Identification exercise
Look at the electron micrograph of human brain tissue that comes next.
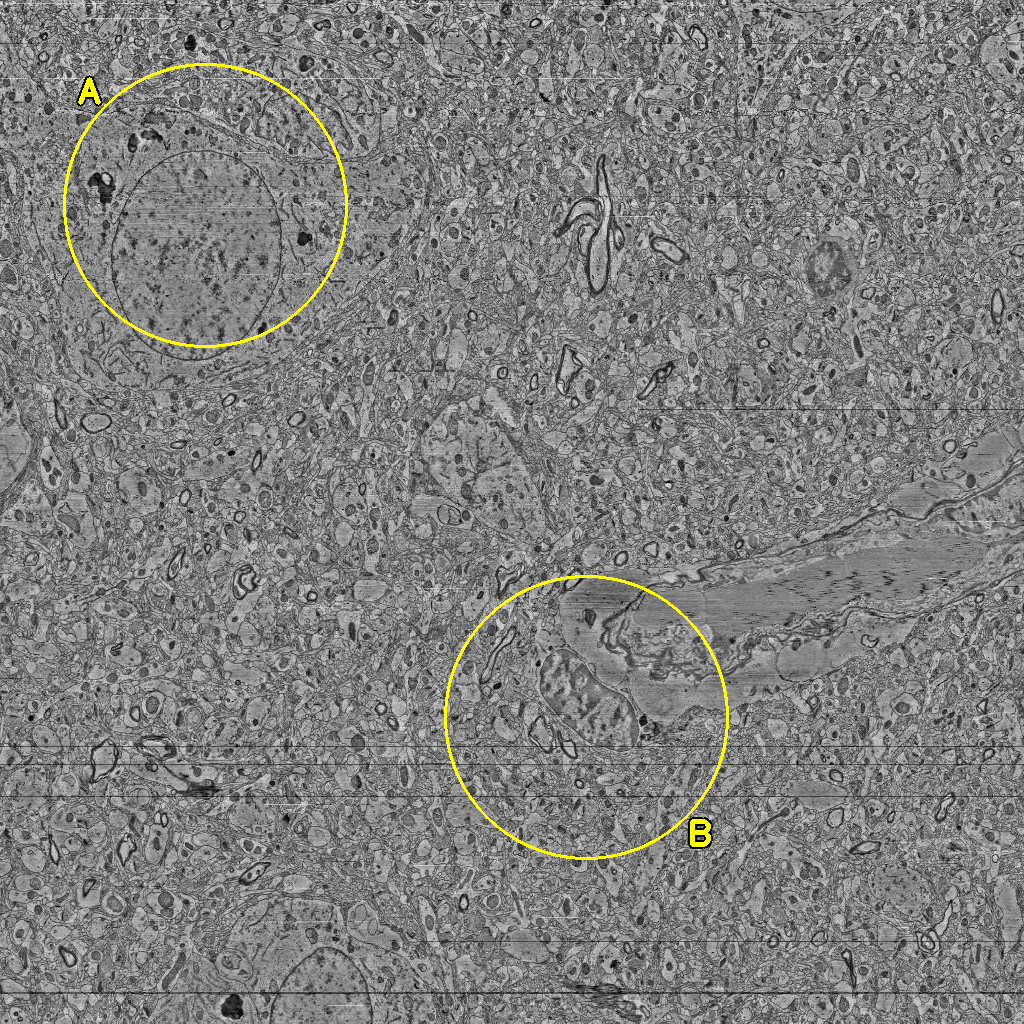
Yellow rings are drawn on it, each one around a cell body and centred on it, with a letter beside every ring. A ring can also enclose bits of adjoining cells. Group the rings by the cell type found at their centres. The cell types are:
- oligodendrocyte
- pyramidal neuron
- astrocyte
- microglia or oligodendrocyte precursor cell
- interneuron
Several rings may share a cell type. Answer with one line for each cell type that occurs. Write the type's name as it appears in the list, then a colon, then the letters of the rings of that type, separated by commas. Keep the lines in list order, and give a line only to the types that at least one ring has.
pyramidal neuron: A
microglia or oligodendrocyte precursor cell: B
